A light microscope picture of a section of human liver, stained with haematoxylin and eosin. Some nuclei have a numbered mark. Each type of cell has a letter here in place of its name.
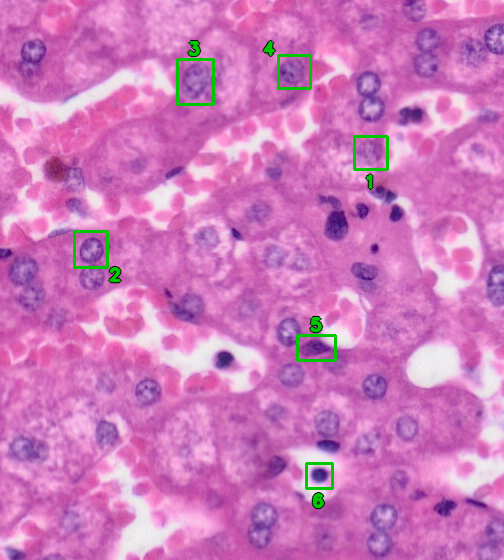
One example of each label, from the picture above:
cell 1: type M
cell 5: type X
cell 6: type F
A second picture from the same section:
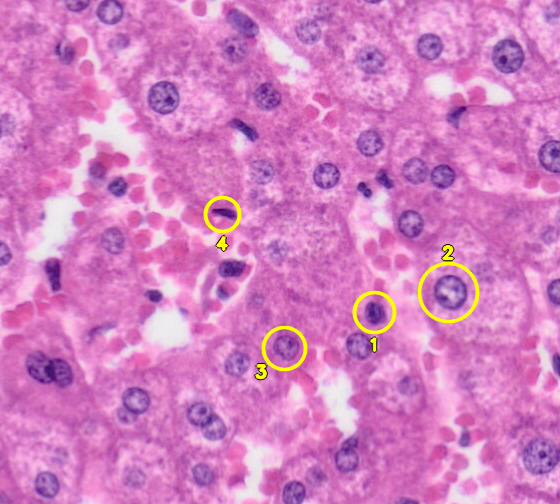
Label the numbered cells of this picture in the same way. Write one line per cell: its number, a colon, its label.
1: type X
2: type M
3: type M
4: type X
